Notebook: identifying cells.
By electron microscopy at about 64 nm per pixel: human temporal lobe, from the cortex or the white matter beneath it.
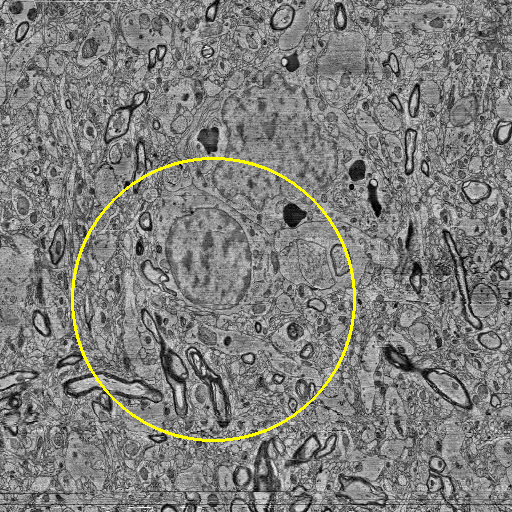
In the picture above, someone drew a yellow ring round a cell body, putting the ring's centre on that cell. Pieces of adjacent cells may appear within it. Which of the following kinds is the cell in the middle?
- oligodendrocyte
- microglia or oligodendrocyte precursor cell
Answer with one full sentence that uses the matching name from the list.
In this picture, the yellow ring is centred on the body of an oligodendrocyte.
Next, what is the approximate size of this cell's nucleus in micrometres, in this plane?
In this plane the nucleus measures roughly 7 by 5 micrometers.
